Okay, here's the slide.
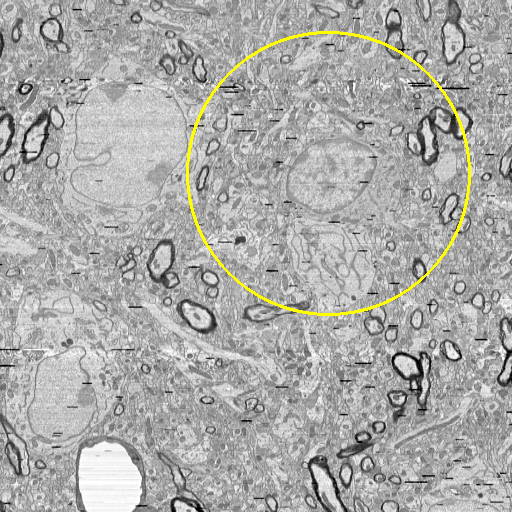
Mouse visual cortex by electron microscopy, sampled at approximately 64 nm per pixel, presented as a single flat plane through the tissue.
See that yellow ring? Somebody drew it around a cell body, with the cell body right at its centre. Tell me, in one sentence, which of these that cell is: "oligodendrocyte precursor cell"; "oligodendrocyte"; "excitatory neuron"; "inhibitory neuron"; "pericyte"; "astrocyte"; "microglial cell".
The cell in the middle of the ring is an oligodendrocyte.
